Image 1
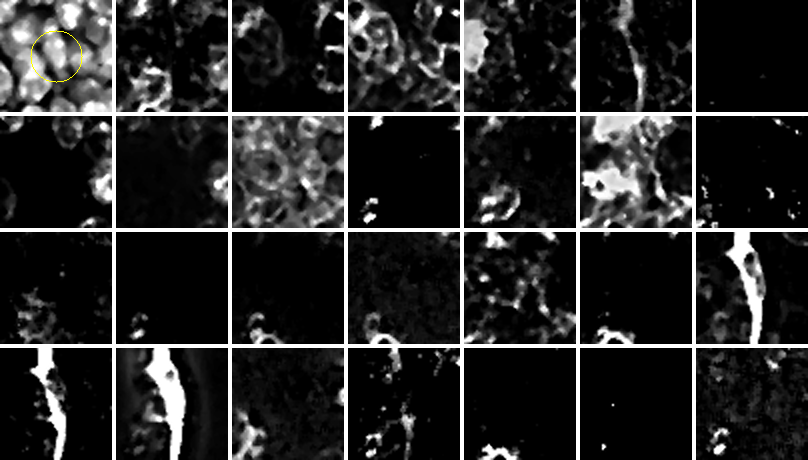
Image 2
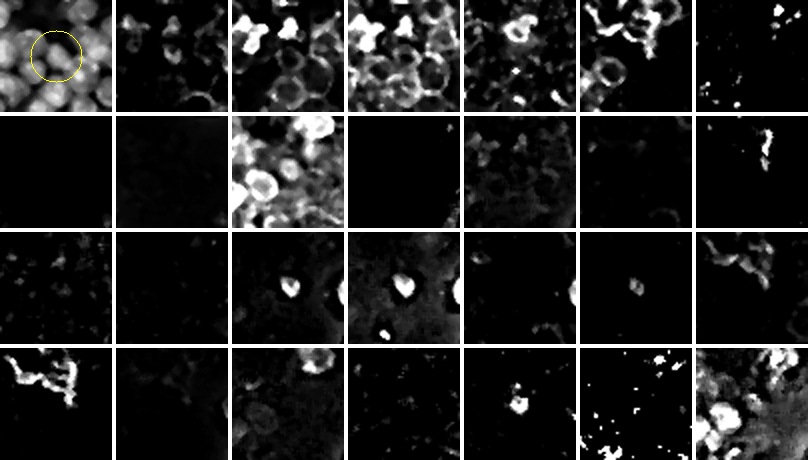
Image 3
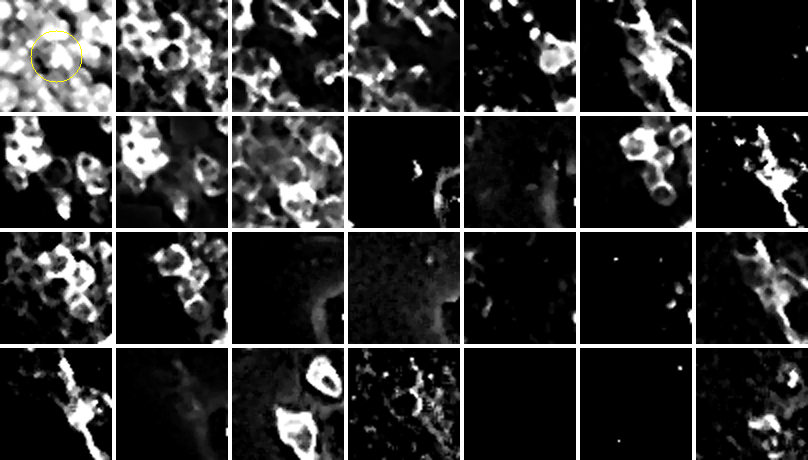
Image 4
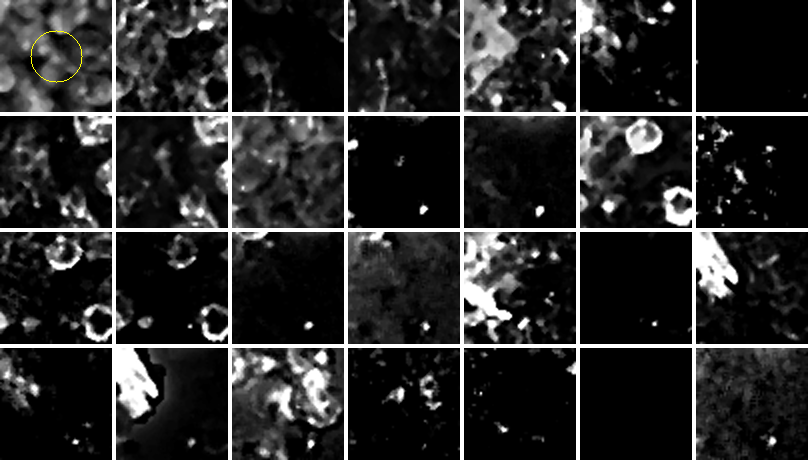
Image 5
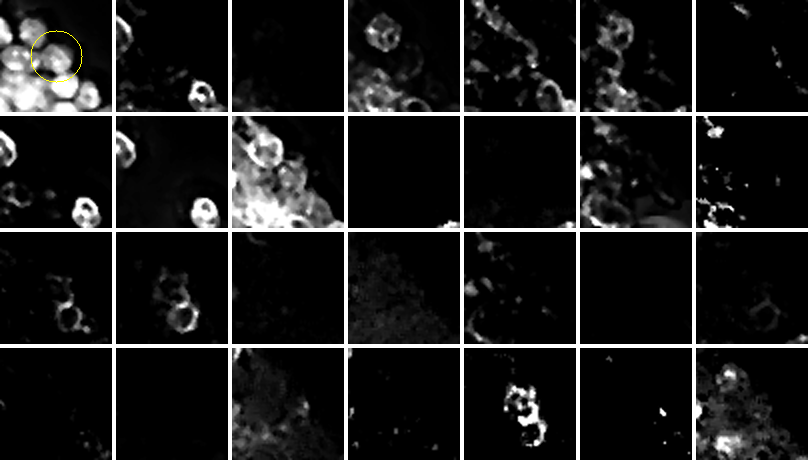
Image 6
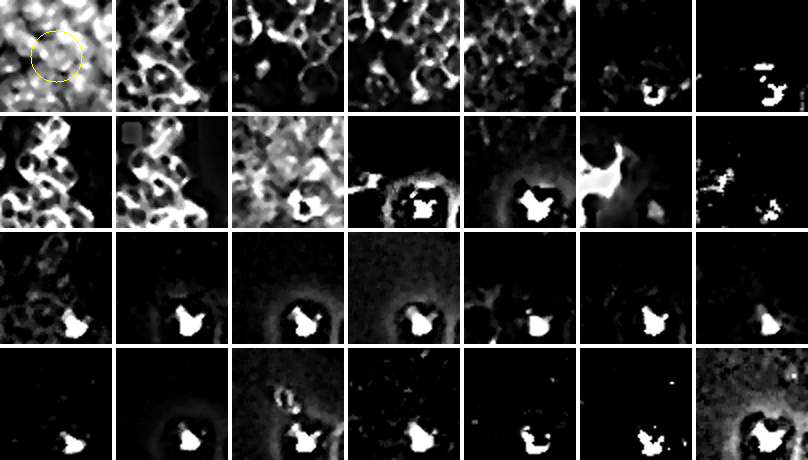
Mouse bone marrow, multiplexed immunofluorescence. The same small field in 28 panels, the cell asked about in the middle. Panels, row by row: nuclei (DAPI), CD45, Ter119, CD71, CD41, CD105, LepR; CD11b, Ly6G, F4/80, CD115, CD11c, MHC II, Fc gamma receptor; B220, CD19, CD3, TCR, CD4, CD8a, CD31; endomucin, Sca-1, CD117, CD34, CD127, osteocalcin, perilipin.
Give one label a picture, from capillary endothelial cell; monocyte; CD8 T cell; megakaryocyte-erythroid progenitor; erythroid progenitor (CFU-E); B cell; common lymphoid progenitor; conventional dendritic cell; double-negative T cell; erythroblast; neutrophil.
1. capillary endothelial cell
2. double-negative T cell
3. erythroid progenitor (CFU-E)
4. megakaryocyte-erythroid progenitor
5. common lymphoid progenitor
6. erythroid progenitor (CFU-E)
